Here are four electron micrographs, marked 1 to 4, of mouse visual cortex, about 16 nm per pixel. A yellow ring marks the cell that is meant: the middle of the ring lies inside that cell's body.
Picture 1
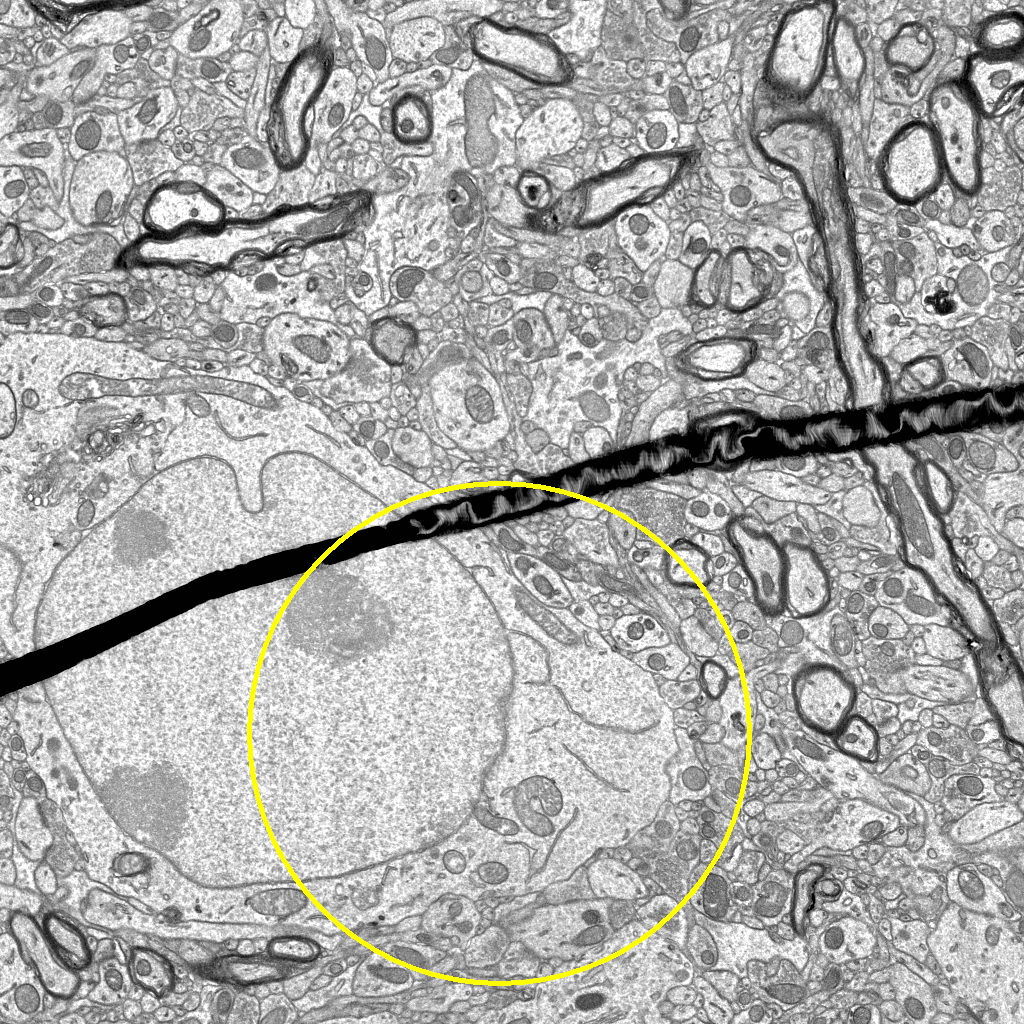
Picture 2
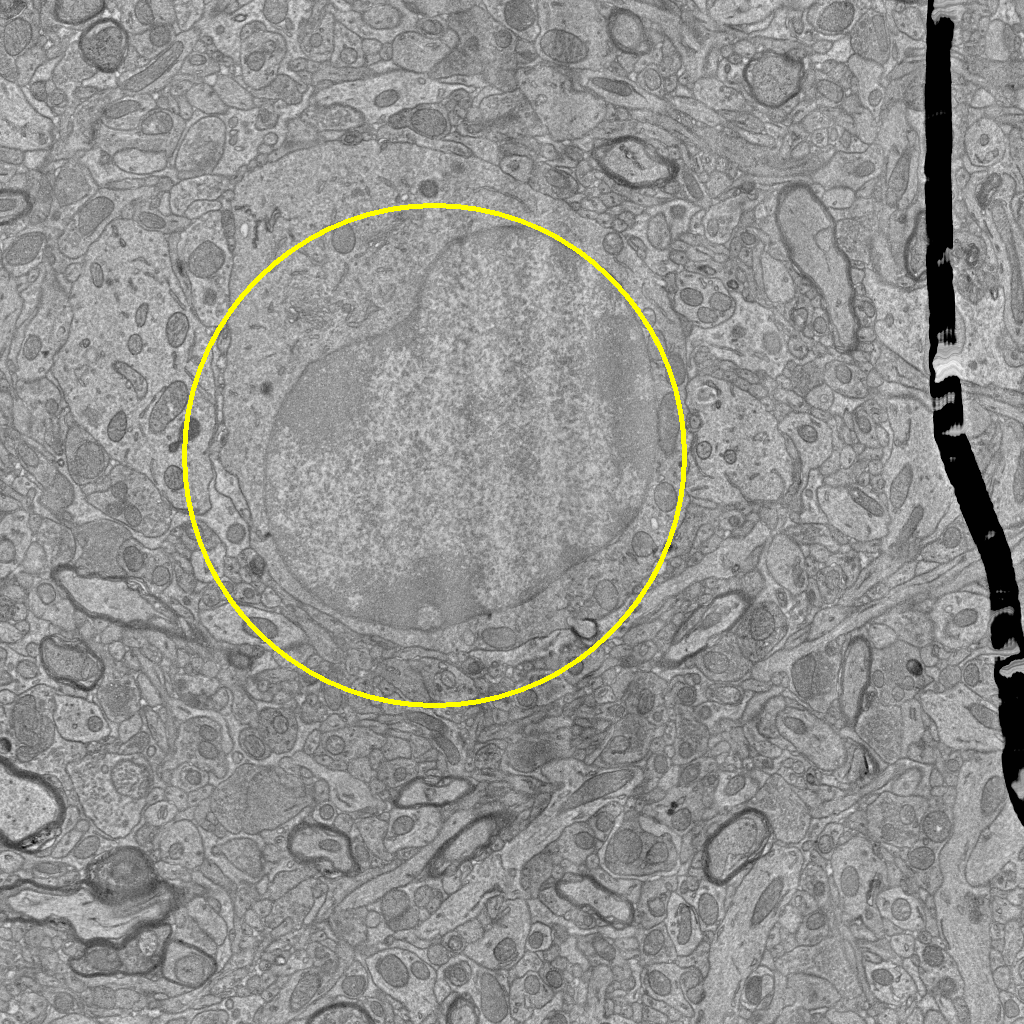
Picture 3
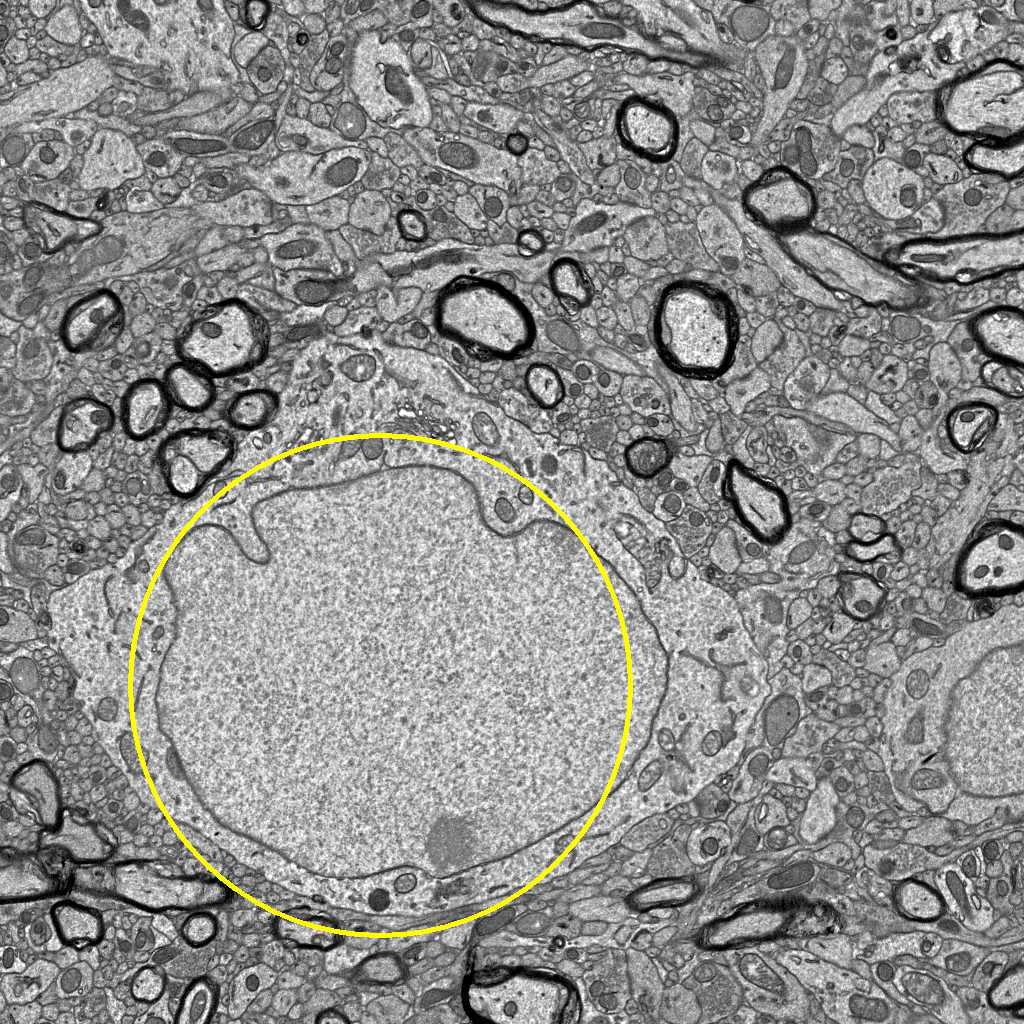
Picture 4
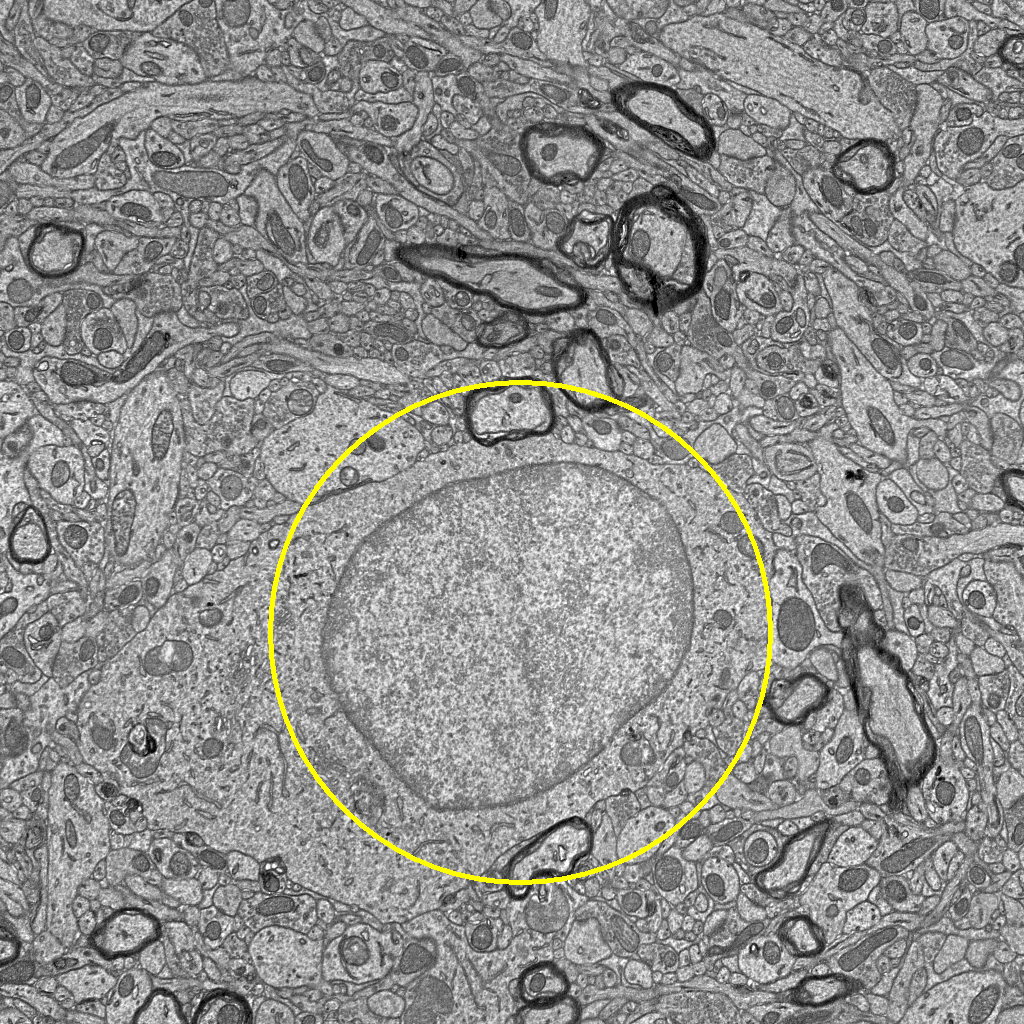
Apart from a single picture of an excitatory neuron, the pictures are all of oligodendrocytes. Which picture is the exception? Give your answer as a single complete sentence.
The excitatory neuron is the one in picture 3.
